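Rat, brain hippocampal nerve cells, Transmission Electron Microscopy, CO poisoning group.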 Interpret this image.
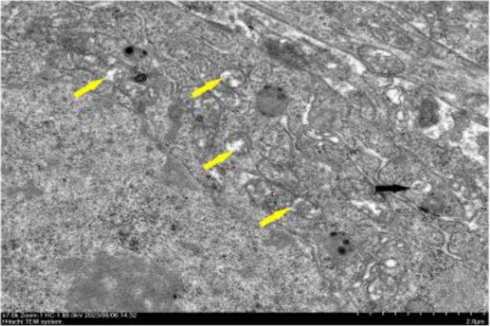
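The cytoplasm is crowded with organelles, including mitochondria, membranes of endoplasmic reticulum and scattered small electron-dense bodies. Several mitochondria, marked by yellow arrows, appear swollen with pale, electron-lucent matrix and poorly defined cristae, consistent with edematous mitochondria. Irregular clear spaces and vacuole-like profiles are scattered through the cytoplasm, and a black arrow marks a small vacuolar structure at the right.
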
